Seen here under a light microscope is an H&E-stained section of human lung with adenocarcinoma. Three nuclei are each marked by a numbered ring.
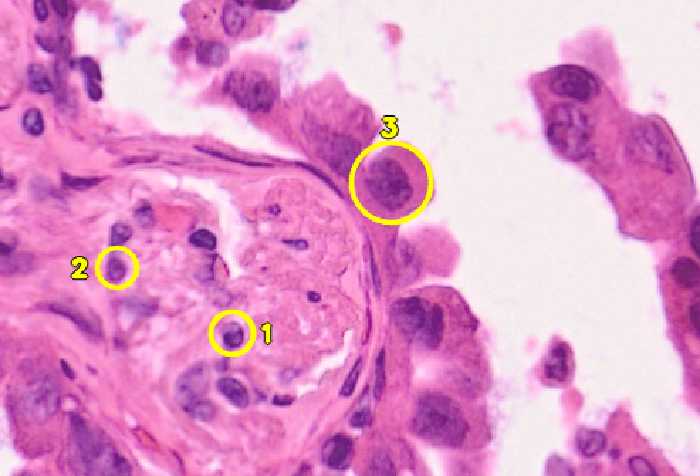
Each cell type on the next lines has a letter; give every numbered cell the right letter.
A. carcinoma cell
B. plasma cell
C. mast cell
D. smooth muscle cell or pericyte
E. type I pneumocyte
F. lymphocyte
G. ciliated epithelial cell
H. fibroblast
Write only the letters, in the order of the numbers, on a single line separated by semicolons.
F; F; A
